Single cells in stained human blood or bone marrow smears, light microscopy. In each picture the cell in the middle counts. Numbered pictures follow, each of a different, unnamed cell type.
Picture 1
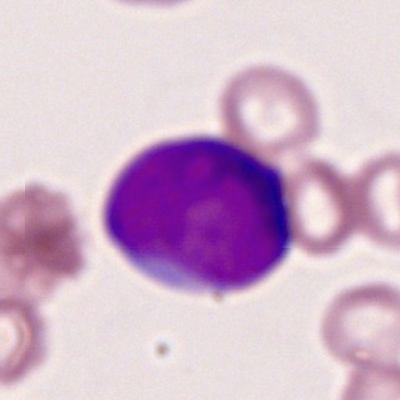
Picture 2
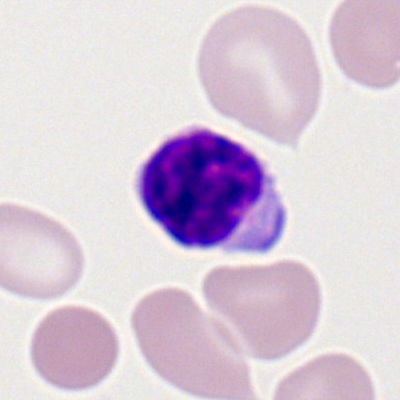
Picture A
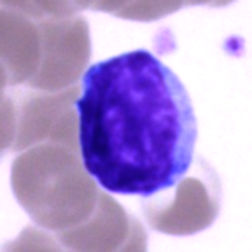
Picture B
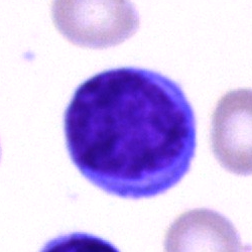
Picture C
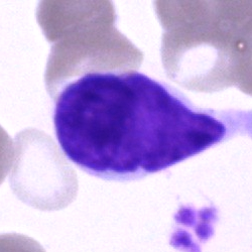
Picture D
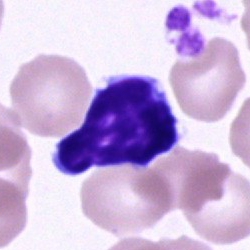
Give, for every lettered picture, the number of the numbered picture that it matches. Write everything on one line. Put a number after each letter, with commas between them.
A 2, B 2, C 2, D 2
